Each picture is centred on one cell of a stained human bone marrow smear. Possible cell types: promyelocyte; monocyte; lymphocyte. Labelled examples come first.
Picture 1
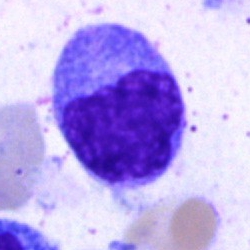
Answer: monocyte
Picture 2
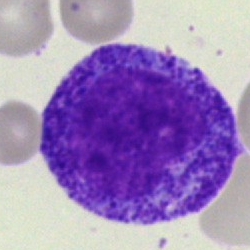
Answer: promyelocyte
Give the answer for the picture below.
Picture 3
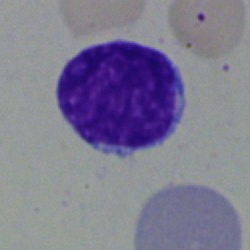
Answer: lymphocyte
